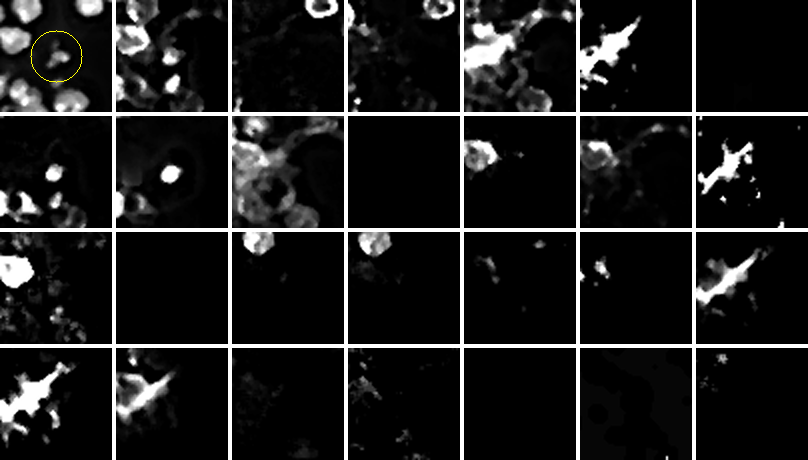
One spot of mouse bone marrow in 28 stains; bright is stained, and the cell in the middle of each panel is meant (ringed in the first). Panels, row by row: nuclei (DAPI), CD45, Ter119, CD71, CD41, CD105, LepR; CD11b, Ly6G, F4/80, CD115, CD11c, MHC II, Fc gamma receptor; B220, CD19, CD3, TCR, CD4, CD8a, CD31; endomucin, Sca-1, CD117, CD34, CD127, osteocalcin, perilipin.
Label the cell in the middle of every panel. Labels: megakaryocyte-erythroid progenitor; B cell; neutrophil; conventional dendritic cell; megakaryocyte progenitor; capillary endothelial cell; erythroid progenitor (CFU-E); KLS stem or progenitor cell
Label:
neutrophil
